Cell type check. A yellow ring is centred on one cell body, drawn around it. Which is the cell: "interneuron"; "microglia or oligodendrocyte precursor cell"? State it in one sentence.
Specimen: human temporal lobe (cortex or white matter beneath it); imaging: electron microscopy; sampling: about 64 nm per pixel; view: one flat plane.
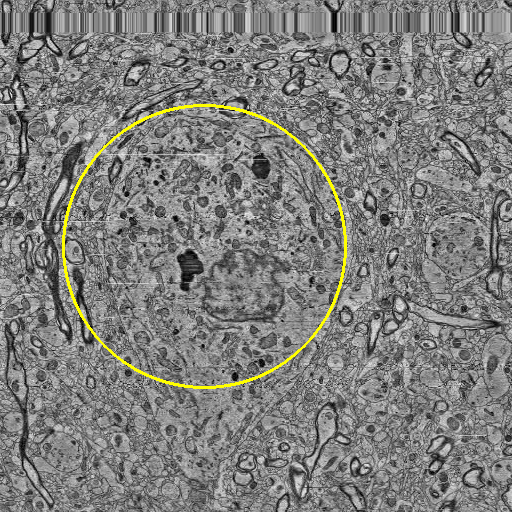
The cell body at the ring's centre belongs to an interneuron.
